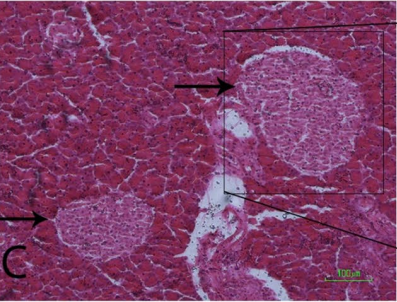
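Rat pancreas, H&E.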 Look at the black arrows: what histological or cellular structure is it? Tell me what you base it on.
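Two well-demarcated round pale areas sit within deep red glandular tissue. The pale areas are made of densely packed small cells with evenly spaced nuclei. The answer: Islets.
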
